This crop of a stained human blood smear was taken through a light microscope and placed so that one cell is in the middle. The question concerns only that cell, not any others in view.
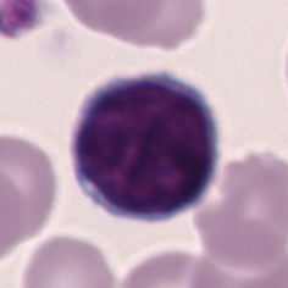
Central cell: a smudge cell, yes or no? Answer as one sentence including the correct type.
No, the cell in the middle of the crop counts as a typical lymphocyte and not as a smudge cell.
